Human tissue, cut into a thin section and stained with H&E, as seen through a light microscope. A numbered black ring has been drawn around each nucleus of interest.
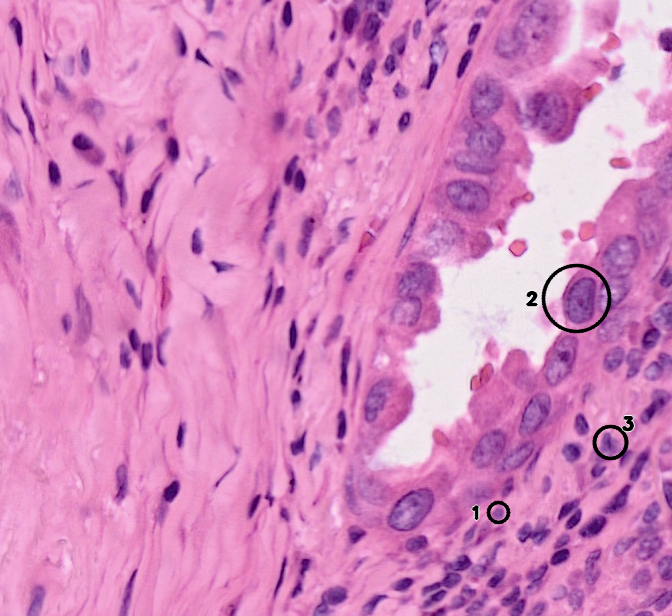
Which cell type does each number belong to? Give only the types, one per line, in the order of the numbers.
lymphocyte
carcinoma cell
lymphocyte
